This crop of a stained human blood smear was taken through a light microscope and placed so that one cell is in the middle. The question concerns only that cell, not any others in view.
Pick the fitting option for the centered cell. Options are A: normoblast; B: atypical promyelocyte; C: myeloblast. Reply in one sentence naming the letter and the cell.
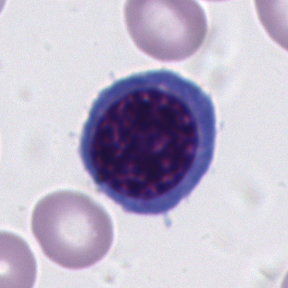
The central cell in this crop is a normoblast, so the correct choice is option A.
